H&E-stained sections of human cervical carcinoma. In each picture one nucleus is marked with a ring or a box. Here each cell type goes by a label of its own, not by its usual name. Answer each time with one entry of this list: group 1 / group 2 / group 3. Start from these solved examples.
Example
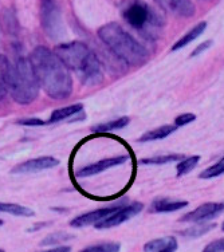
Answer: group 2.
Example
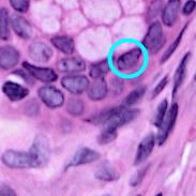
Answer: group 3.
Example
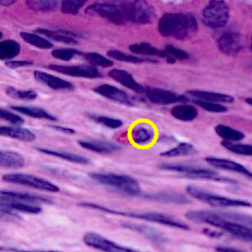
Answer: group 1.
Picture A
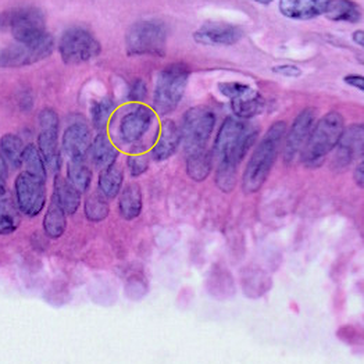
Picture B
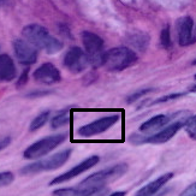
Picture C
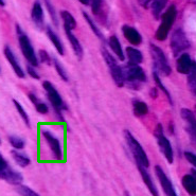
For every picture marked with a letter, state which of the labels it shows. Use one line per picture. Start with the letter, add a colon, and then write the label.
A: group 3.
B: group 2.
C: group 2.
